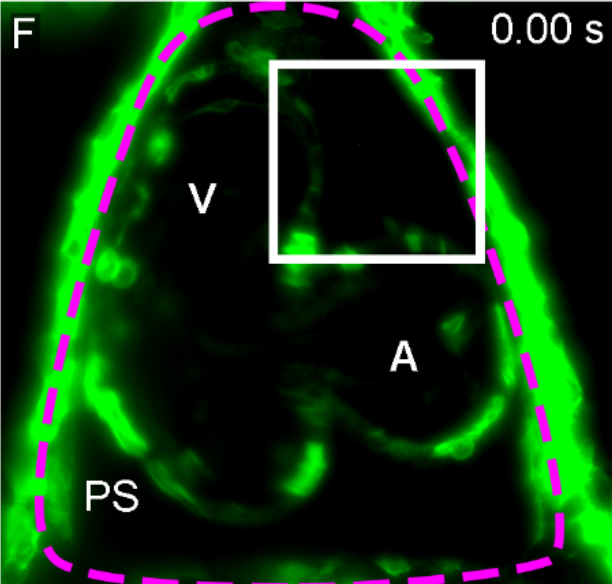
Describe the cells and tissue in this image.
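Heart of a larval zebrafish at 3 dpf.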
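The outer pericardial wall forms a thick, bright green band along both sides of a roughly triangular cavity. The ventricle and atrium appear as thin green outlines with scattered brighter cell profiles, their lumens dark. The pericardial space between the chambers and the outer wall is dark and nearly empty.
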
